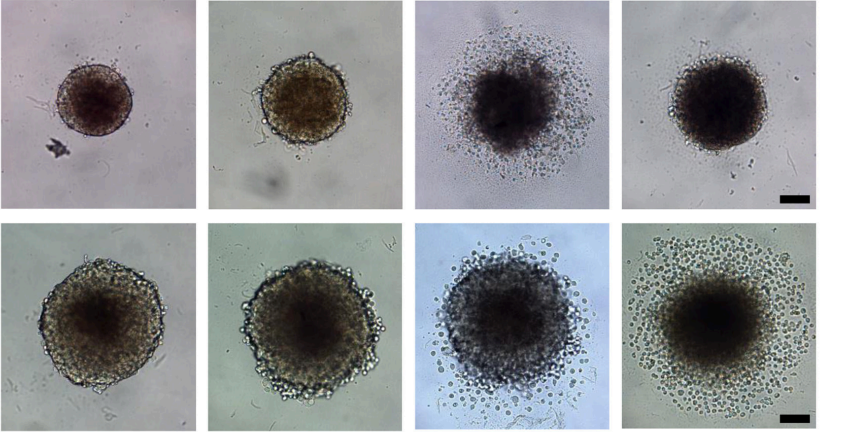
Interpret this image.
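The core of each spheroid is dark and opaque, and individual rounded cells can be made out only toward the periphery. Some spheroids have a smooth, sharply bounded edge. Others are surrounded by a halo of many small, round, separate cells scattered loosely around the dense core.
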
